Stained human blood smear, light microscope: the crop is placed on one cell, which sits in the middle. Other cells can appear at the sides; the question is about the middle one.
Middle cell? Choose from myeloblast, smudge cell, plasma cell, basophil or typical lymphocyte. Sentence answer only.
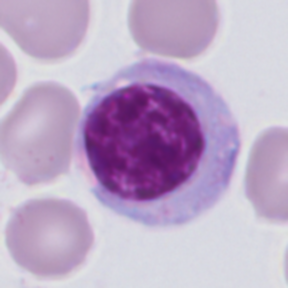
The cell of interest, located centrally, is a plasma cell.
